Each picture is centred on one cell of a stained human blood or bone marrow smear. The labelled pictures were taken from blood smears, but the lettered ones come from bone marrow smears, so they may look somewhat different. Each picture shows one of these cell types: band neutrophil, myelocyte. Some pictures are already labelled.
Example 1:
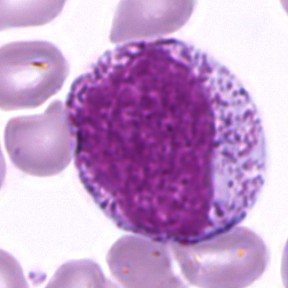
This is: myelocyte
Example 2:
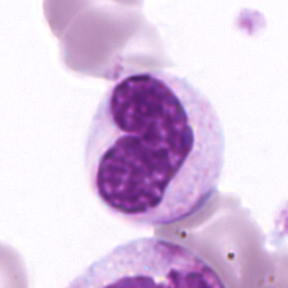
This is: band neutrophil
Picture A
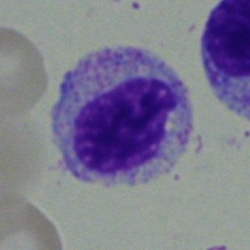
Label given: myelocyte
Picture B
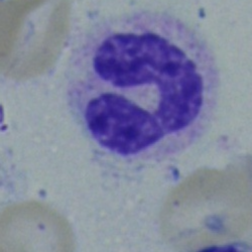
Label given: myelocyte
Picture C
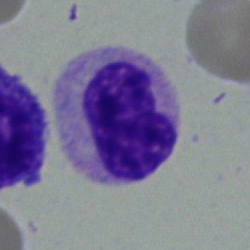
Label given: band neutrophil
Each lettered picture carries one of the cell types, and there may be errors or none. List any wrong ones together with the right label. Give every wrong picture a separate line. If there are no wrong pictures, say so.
B should be band neutrophil, not myelocyte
